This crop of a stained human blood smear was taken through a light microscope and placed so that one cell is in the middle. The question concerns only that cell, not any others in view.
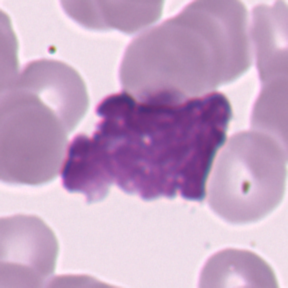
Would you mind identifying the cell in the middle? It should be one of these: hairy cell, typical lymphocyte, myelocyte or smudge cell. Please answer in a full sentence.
The centrally located cell in the crop is a smudge cell.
